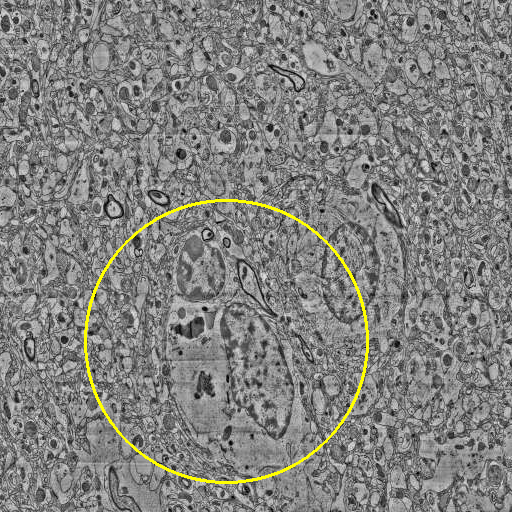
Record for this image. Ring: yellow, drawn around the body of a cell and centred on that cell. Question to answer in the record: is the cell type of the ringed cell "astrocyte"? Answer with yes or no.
yes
